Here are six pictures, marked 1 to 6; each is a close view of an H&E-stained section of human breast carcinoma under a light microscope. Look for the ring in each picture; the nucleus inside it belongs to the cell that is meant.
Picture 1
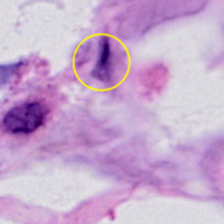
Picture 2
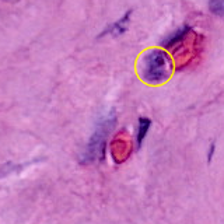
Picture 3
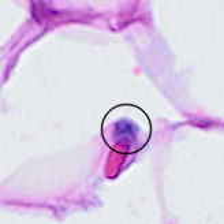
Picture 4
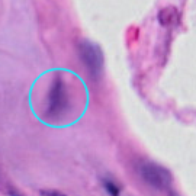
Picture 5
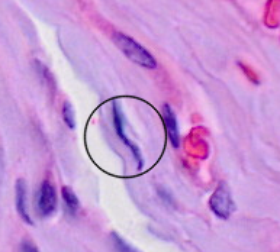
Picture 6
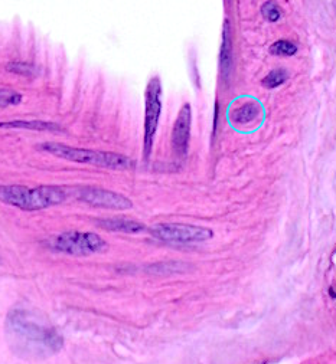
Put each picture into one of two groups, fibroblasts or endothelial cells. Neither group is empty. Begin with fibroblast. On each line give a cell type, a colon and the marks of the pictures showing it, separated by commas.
fibroblast: 1, 4, 5
endothelial cell: 2, 3, 6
